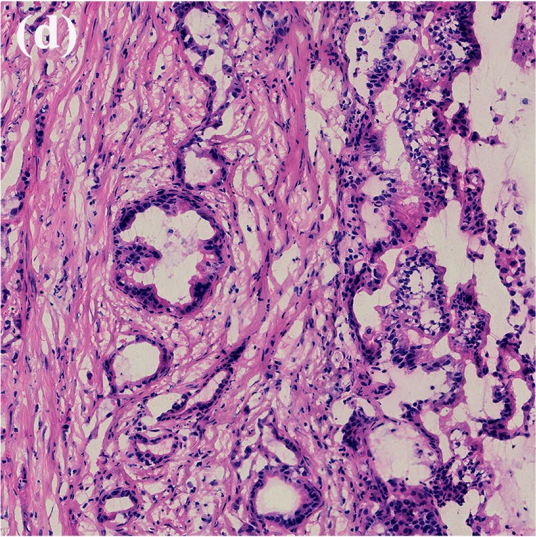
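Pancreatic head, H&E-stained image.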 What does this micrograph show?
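On the left, pale pink wavy collagen bundles run roughly vertically with scattered elongated dark nuclei between them. In the centre a rounded gland has an open lumen lined by cells with dark purple nuclei, with small tufts projecting inward; smaller irregular glands lie below it. On the right the architecture is disordered: crowded clusters and strands of cells with dark, closely packed nuclei form poorly shaped glands and cords, separated by pale empty spaces, with little intervening stroma.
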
